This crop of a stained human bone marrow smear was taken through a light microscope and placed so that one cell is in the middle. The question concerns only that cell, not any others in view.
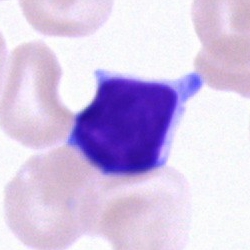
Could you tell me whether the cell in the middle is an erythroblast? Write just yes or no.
no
